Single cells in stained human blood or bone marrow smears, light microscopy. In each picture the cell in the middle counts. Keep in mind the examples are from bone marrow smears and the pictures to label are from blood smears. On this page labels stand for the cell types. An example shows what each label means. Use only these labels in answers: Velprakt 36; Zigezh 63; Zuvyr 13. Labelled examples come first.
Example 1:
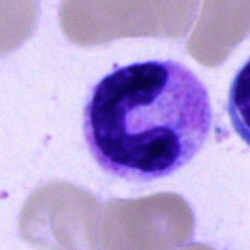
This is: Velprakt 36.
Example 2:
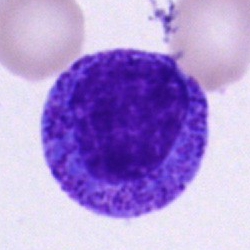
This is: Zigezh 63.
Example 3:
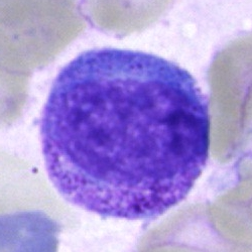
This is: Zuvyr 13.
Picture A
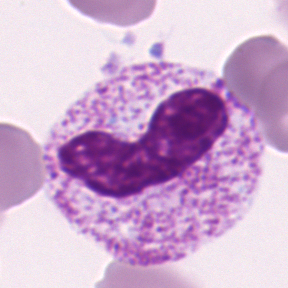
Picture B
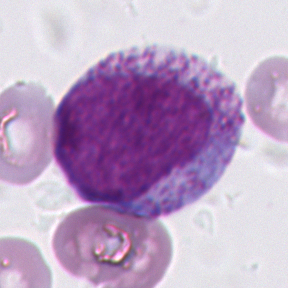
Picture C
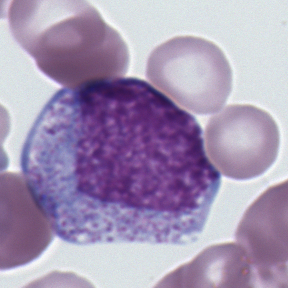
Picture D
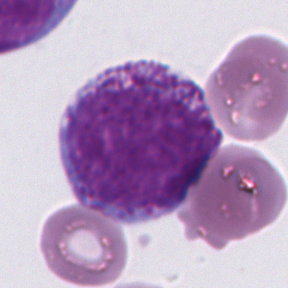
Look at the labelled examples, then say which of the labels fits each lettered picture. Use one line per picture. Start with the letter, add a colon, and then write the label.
A: Velprakt 36.
B: Zigezh 63.
C: Zuvyr 13.
D: Zuvyr 13.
